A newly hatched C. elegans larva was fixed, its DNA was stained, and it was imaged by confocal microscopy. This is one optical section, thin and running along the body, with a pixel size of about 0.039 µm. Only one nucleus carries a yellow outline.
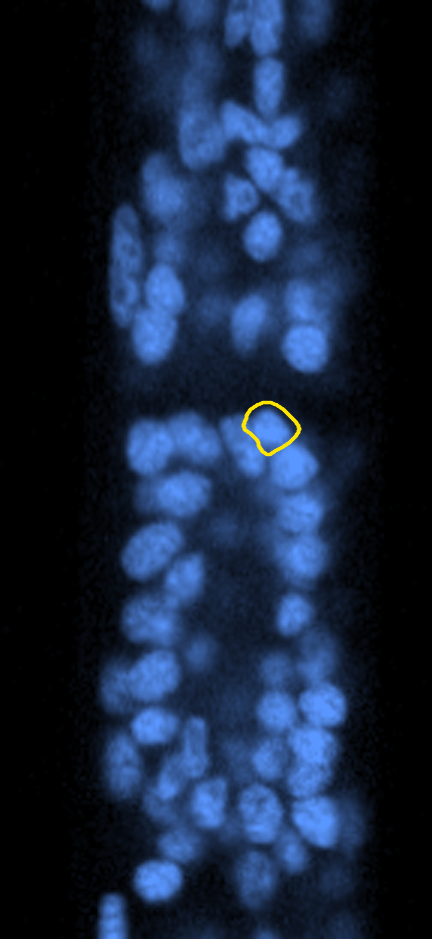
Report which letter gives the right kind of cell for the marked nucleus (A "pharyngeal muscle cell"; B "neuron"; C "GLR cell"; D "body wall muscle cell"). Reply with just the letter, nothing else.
C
